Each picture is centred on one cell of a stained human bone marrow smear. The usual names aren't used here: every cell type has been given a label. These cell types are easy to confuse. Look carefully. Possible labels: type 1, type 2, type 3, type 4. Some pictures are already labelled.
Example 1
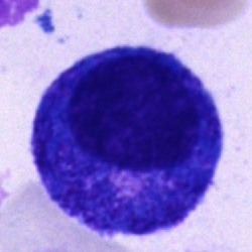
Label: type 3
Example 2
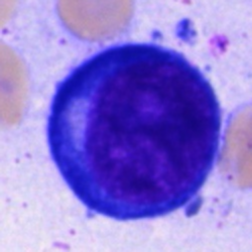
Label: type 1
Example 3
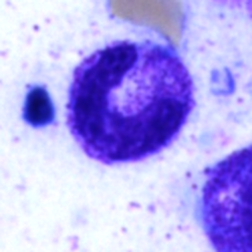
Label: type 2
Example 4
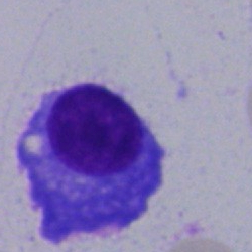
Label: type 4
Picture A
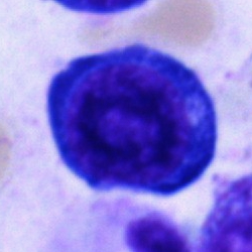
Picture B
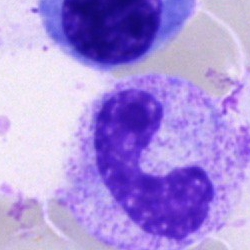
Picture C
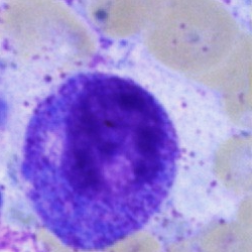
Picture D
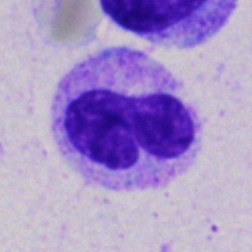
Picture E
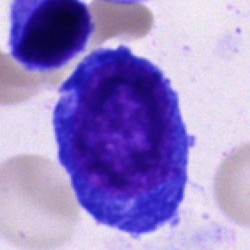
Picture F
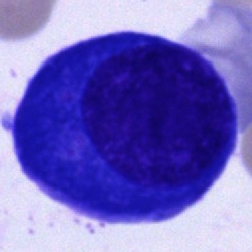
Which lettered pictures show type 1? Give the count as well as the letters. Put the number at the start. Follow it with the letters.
2, namely A, E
